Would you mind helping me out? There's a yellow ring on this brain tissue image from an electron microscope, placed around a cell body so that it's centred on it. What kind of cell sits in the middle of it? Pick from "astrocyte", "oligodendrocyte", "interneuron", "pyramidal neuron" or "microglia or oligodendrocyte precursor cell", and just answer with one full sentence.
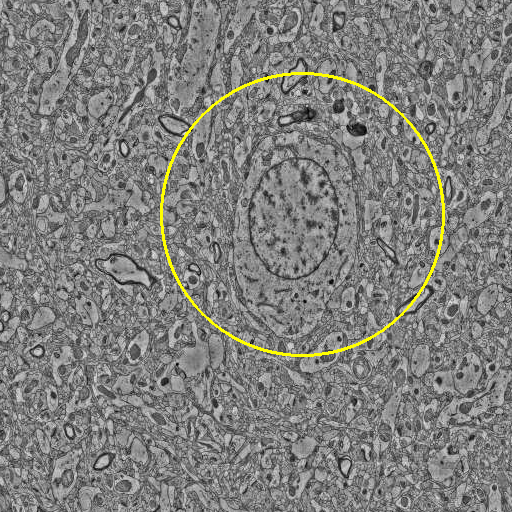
What sits in the middle of that yellow ring is a pyramidal neuron, from your choices.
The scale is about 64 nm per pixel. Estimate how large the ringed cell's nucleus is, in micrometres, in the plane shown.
Approximately 8 by 6 micrometers in this plane.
